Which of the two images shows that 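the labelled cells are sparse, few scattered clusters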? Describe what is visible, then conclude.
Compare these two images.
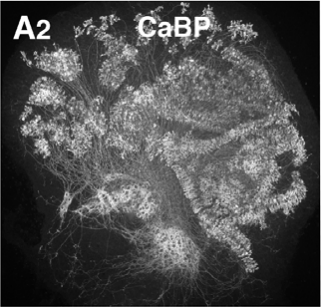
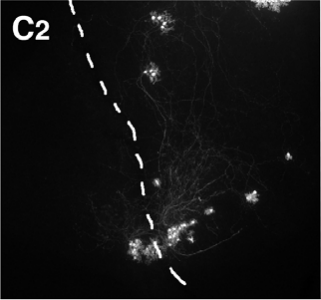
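Second image: only a few small isolated clusters of labelled cells on a mostly dark slice.
The second image.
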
